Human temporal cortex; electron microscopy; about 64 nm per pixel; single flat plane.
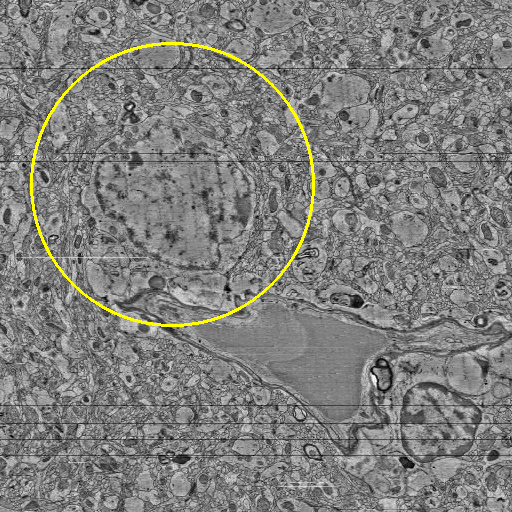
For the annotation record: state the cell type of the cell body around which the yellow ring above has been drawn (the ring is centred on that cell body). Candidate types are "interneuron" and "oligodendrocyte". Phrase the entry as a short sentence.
The ringed cell is an interneuron.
